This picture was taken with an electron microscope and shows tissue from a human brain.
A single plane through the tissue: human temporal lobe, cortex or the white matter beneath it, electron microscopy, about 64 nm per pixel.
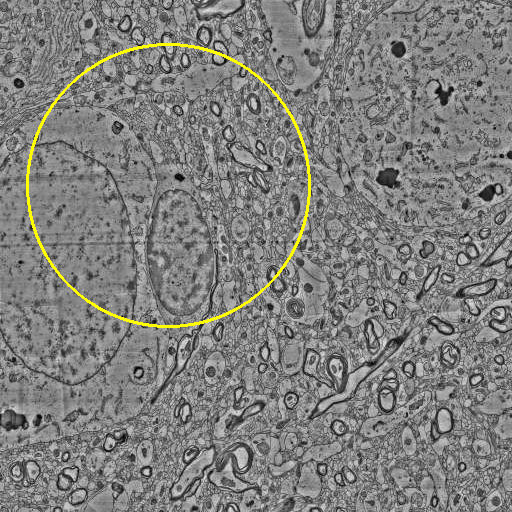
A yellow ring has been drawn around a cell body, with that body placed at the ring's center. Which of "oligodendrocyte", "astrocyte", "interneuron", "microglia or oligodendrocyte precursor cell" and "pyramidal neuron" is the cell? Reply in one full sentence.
In this picture, an oligodendrocyte is the cell at the center of the yellow ring.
